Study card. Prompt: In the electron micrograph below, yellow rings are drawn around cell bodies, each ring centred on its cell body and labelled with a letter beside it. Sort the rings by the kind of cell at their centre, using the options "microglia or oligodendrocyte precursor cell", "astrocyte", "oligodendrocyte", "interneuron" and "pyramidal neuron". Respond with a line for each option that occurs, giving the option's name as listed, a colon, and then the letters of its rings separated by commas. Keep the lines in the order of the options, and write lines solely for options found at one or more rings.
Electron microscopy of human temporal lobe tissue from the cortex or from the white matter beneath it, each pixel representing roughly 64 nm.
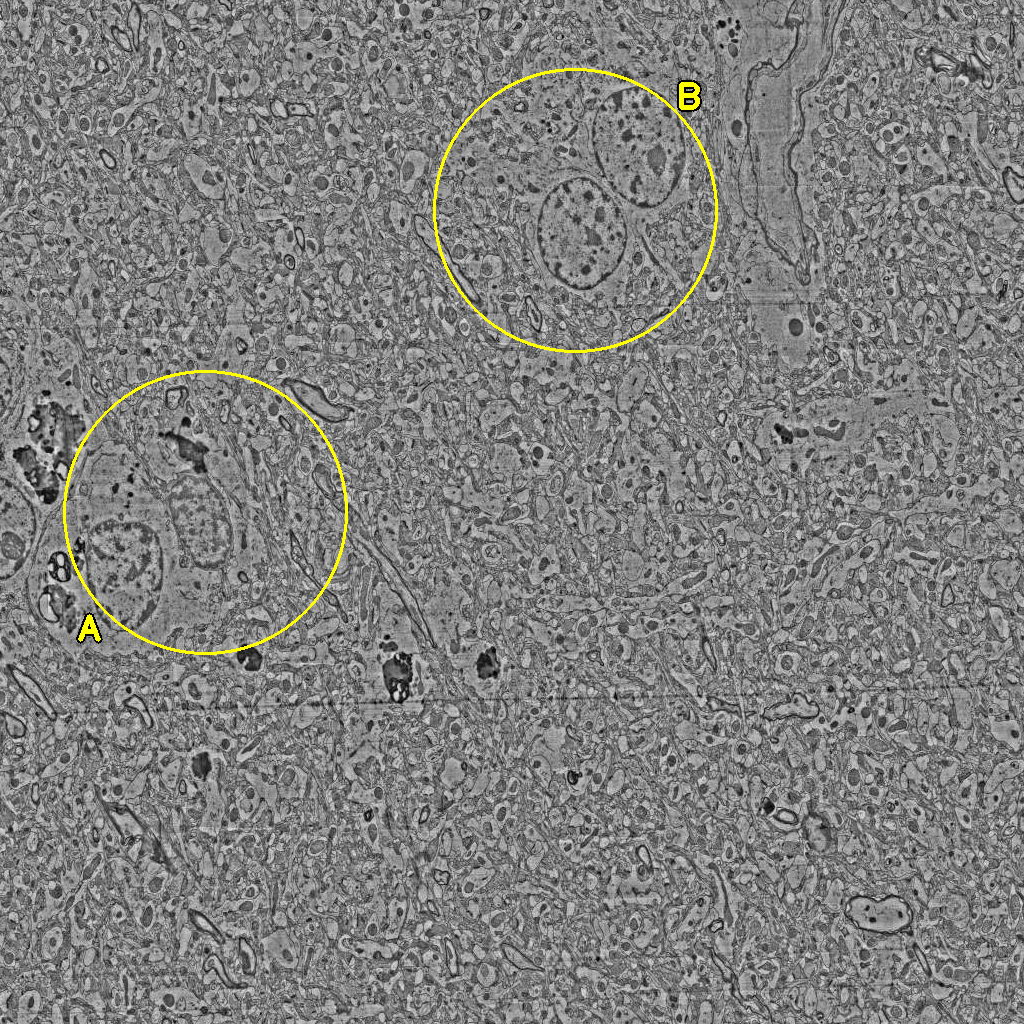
astrocyte: B
oligodendrocyte: A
